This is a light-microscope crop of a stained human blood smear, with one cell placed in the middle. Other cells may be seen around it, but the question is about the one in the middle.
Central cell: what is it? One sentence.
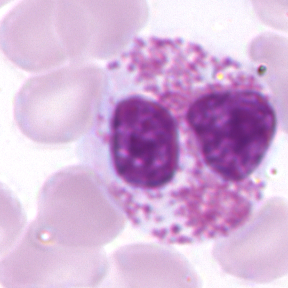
Looking at the middle of the crop, the cell there is an eosinophil.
